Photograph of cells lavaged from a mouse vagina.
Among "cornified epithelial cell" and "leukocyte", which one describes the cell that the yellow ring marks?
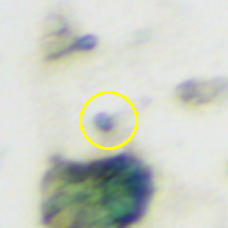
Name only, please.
leukocyte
